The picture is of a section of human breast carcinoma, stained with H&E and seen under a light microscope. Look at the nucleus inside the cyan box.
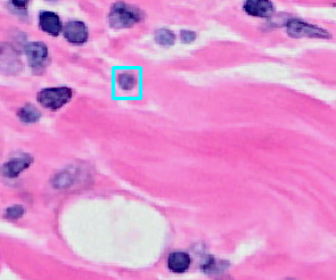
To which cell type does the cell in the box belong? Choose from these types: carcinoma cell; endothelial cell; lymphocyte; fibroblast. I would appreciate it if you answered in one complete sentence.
As to its cell type, the cell in the box is a lymphocyte.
